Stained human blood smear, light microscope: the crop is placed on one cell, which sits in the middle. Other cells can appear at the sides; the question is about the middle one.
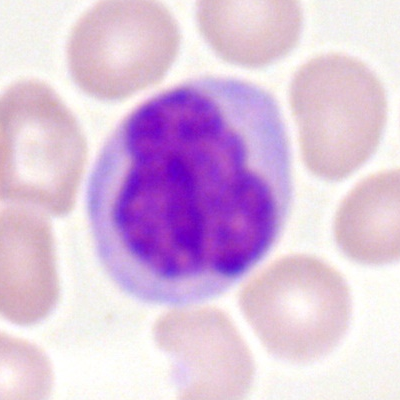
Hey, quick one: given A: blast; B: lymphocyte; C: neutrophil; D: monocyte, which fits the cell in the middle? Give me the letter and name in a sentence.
The correct option, D, names the middle cell as a monocyte.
